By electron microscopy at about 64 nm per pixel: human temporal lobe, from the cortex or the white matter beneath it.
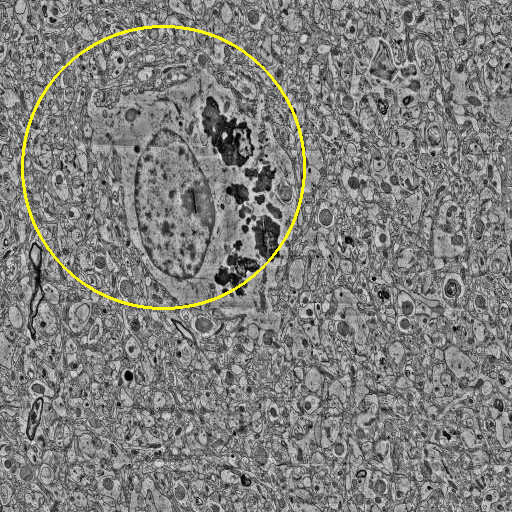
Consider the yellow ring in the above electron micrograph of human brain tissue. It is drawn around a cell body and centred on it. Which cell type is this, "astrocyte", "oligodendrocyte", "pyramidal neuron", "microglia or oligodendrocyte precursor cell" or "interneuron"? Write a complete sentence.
The cell in question is an astrocyte.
